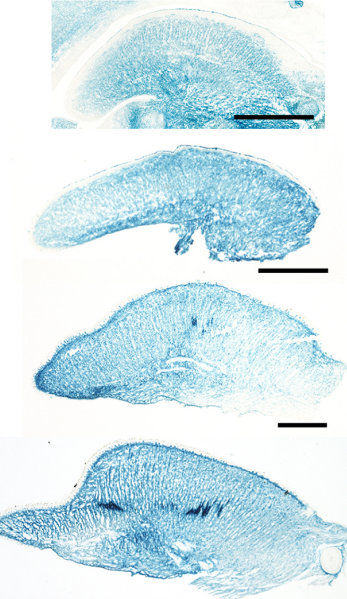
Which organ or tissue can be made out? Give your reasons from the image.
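Each section is an elongated organ with a tapered free tip. Striated bundles of muscle fibres run through the body of the sections.
Answer: tongue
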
